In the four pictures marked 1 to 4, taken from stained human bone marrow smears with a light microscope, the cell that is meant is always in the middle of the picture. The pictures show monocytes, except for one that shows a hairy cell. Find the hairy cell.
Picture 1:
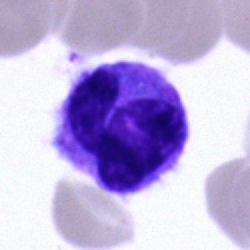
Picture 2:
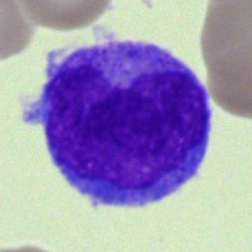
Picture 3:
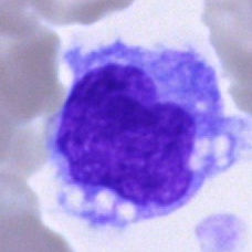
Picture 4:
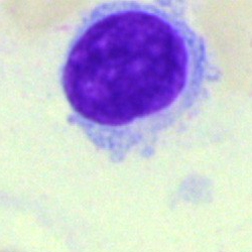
4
